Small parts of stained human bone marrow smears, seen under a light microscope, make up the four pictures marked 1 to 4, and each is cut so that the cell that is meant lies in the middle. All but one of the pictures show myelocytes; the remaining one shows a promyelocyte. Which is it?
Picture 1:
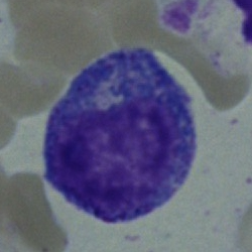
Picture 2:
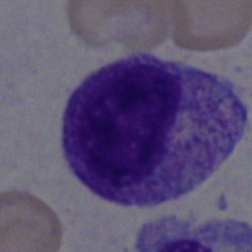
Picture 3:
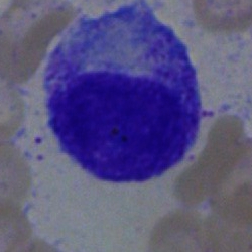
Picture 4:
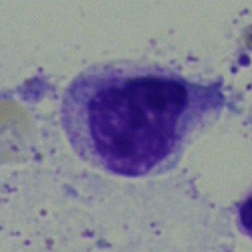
1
